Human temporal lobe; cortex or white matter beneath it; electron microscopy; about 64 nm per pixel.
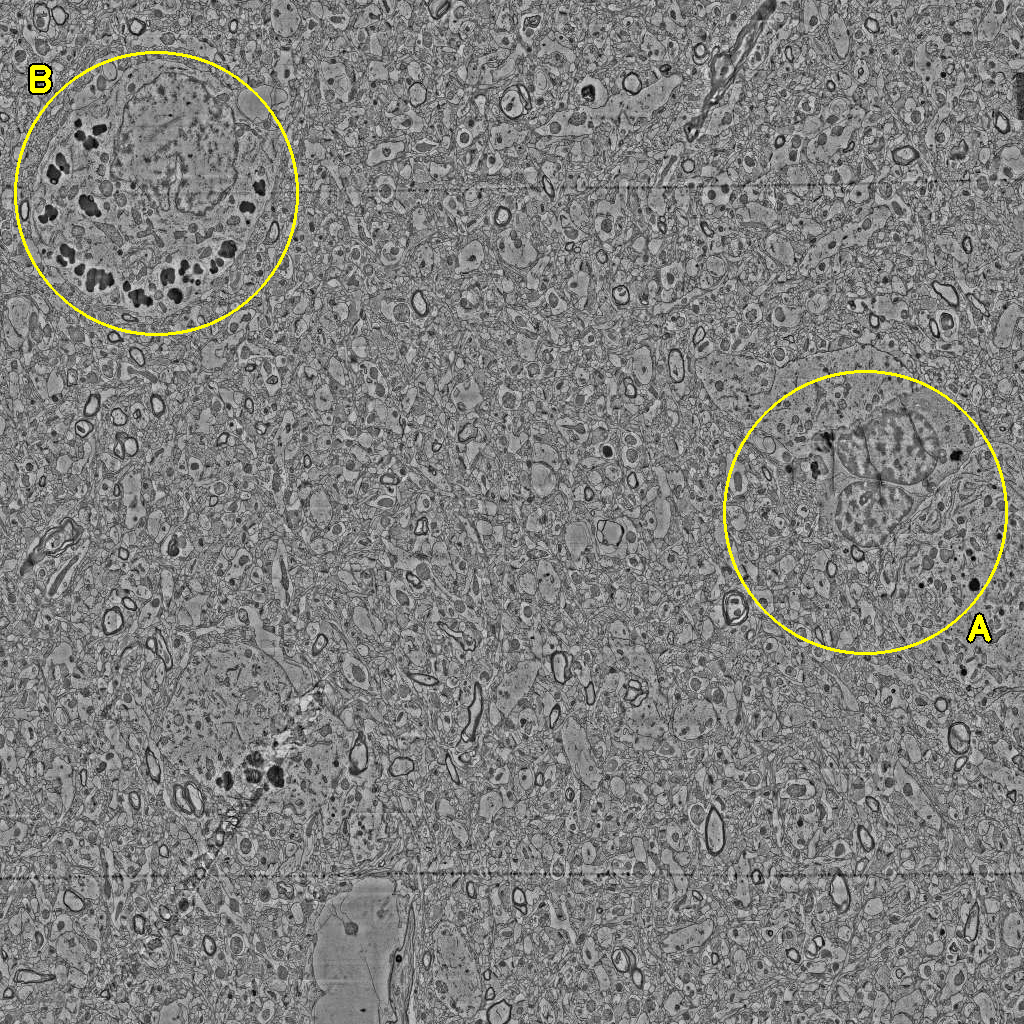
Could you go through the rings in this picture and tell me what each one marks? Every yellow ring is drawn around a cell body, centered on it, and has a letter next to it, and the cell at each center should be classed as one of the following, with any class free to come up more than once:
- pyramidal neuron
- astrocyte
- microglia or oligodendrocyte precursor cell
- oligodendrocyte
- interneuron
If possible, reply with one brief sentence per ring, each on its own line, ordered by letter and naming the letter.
The cell centered in ring A is an oligodendrocyte.
The cell centered in ring B is an interneuron.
